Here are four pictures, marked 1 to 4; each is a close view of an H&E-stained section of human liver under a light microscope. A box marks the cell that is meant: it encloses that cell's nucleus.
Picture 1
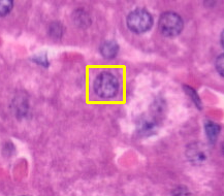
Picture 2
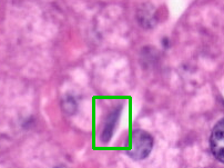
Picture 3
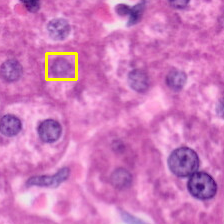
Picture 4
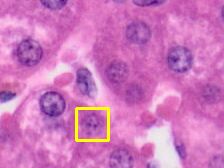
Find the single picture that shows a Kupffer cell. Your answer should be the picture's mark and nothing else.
2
